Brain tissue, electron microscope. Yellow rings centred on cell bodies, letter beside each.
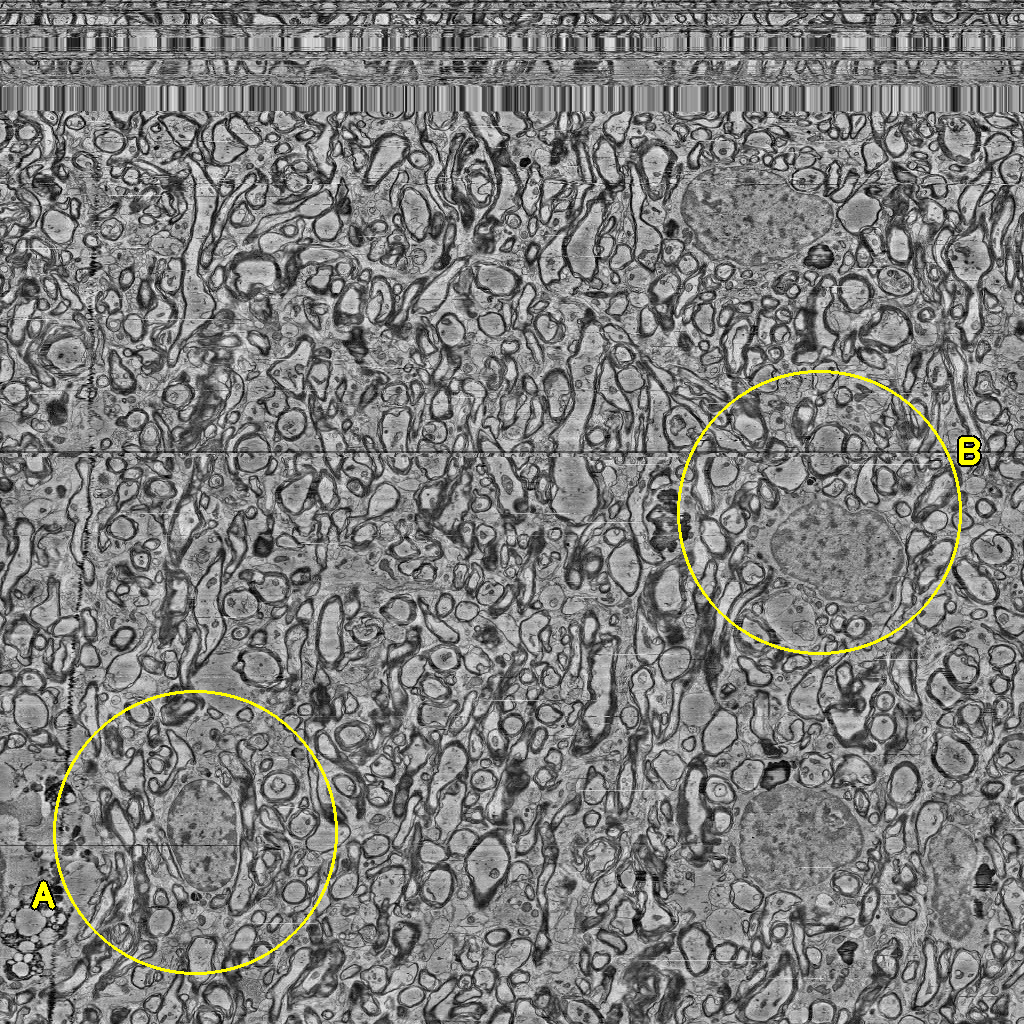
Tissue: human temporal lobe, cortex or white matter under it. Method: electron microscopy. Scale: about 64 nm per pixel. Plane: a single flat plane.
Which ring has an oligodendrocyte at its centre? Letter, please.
B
